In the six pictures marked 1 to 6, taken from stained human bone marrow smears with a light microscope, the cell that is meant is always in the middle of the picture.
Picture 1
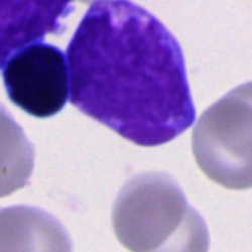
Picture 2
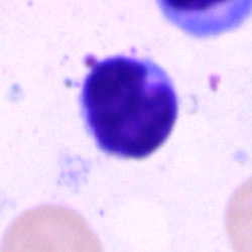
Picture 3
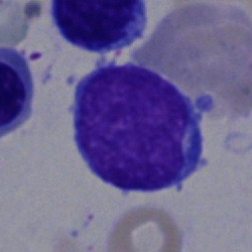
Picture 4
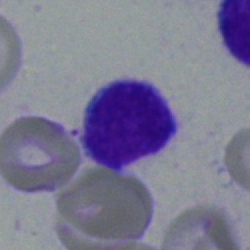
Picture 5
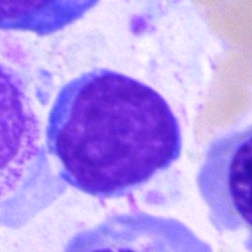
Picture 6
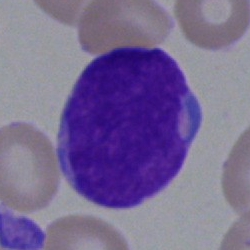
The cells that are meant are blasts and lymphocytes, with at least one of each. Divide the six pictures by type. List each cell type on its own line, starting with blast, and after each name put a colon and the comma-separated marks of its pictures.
blast: 1, 3, 6
lymphocyte: 2, 4, 5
